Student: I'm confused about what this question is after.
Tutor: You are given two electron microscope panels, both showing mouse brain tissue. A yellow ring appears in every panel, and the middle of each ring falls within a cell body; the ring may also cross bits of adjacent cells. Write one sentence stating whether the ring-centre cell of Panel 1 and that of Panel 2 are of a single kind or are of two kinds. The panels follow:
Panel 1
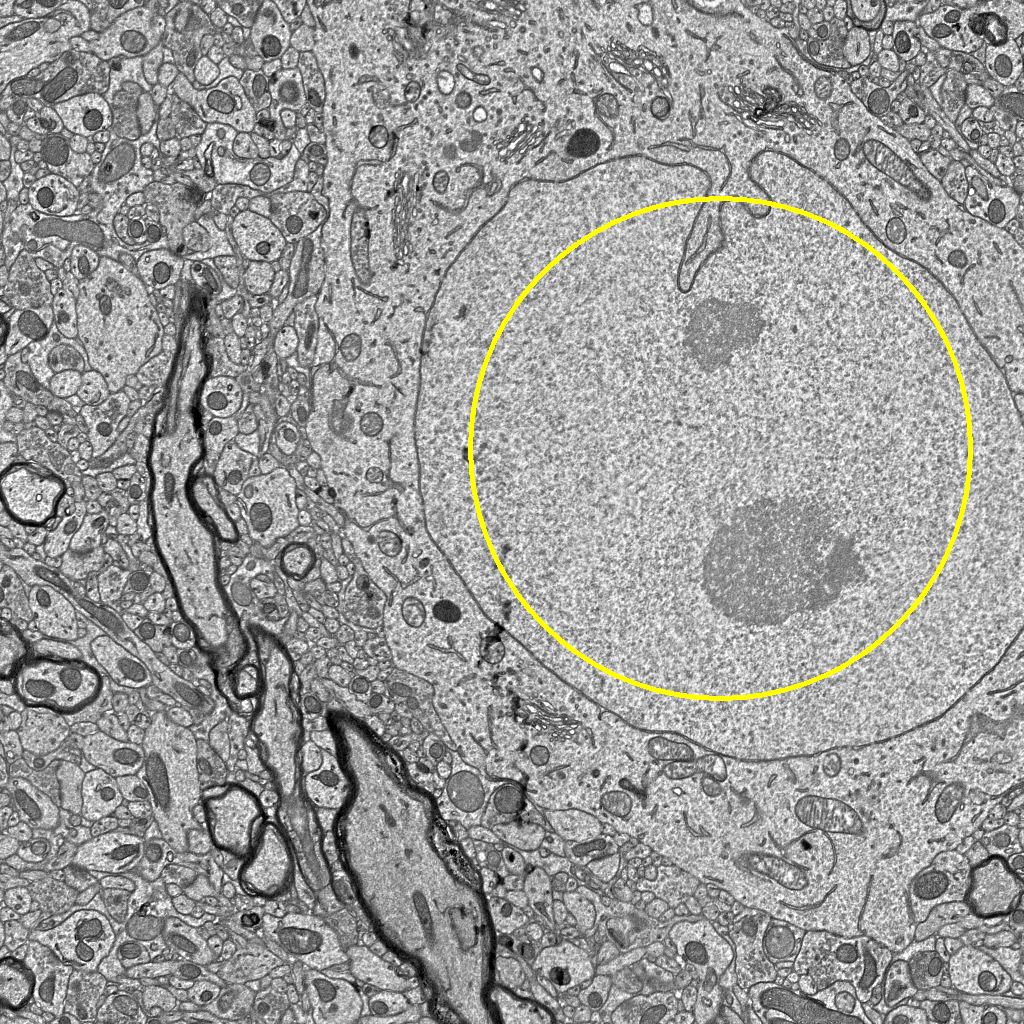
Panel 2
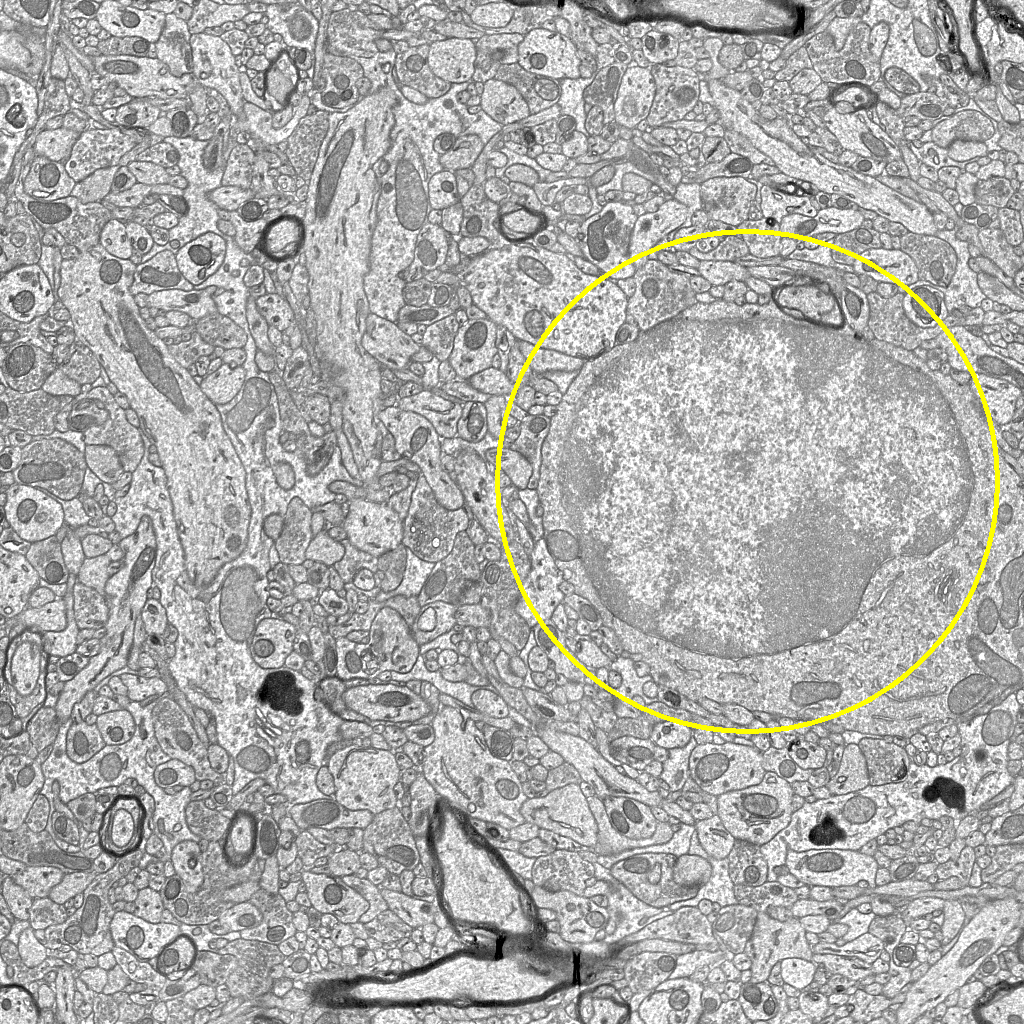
Here, the Panel 1 ring-centre cell and the Panel 2 ring-centre cell are of two kinds.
